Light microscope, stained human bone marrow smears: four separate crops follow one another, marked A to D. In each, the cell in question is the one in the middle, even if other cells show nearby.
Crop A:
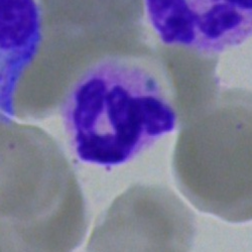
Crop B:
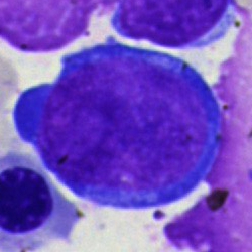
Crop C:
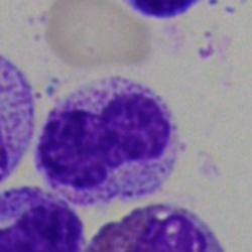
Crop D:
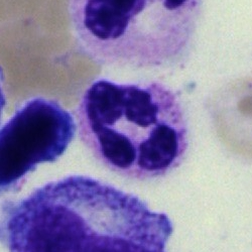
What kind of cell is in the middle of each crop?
A: segmented neutrophil
B: proerythroblast
C: band neutrophil
D: segmented neutrophil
